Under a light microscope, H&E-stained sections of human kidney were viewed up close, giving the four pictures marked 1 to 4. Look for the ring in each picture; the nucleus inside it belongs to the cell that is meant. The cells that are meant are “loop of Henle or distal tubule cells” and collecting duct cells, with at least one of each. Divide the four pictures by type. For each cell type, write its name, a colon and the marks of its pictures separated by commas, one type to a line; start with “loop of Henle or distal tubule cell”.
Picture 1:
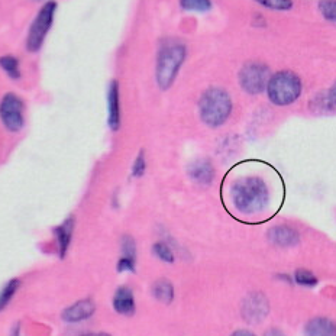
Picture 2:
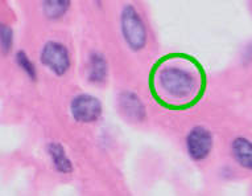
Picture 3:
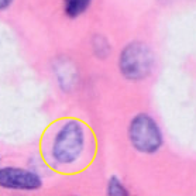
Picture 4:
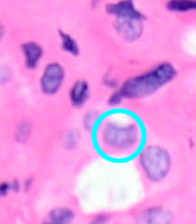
loop of Henle or distal tubule cell: 1, 2
collecting duct cell: 3, 4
